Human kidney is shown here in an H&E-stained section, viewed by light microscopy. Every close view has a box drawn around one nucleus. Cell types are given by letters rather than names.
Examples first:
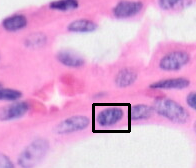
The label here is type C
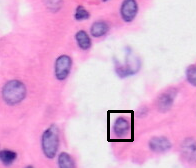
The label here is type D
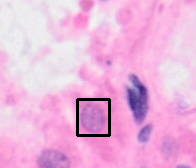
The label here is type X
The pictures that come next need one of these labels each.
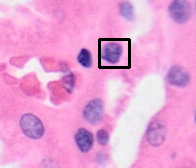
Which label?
type D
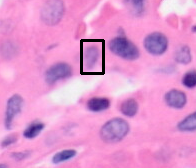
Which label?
type C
